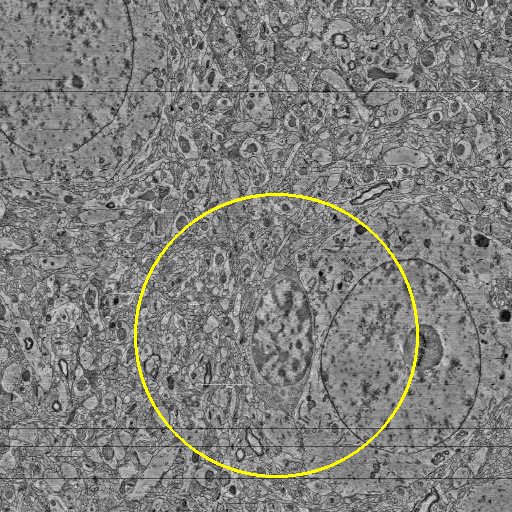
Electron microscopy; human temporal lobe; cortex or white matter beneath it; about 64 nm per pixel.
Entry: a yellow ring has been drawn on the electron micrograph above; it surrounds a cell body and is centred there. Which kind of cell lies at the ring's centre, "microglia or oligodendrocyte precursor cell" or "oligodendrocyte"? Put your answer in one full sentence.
The cell sitting at the ring's centre is an oligodendrocyte in the micrograph above.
